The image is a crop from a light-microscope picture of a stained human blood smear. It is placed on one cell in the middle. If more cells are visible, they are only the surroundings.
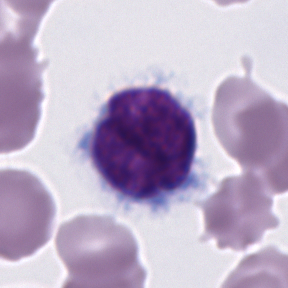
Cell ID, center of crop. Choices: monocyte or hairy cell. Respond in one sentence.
This crop is built around a hairy cell at its centre.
